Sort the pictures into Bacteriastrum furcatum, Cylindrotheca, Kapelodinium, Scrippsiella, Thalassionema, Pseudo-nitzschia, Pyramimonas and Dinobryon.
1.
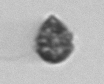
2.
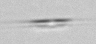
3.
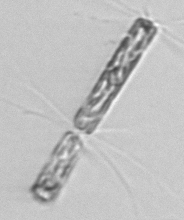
Scrippsiella: 1
Cylindrotheca: 2
Bacteriastrum furcatum: 3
